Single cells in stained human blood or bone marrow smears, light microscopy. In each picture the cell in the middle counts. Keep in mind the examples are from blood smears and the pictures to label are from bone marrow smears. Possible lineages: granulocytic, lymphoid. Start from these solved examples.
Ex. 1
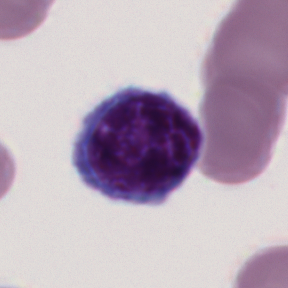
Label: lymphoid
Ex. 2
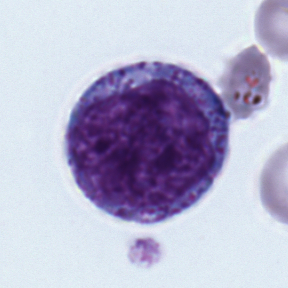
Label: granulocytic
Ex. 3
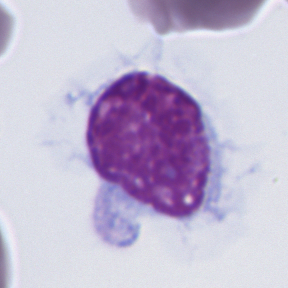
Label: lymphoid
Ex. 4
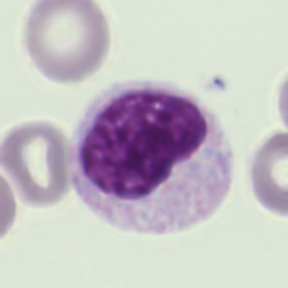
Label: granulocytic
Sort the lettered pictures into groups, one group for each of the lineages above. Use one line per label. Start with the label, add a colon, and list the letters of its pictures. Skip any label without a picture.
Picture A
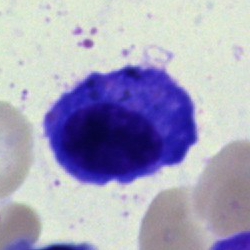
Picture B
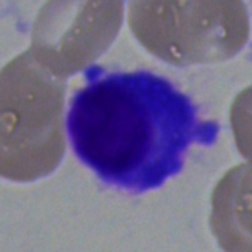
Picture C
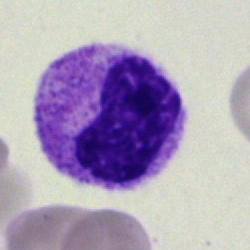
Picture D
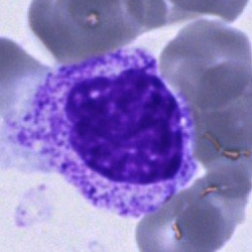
granulocytic: C, D
lymphoid: A, B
